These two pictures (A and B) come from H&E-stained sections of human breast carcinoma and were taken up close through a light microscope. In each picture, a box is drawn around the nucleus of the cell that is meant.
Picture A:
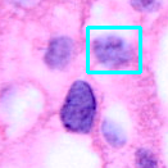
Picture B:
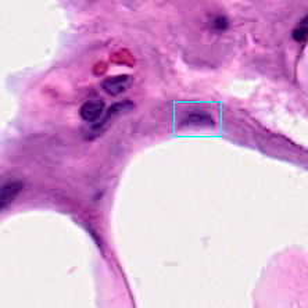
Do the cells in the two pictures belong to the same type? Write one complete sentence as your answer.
No. Picture A shows a carcinoma cell, but picture B shows a fibroblast.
